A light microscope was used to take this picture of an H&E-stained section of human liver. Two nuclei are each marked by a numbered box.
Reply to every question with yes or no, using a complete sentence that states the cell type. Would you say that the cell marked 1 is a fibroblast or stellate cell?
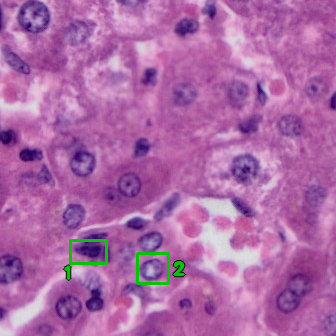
Yes, cell number 1 in this section is a fibroblast or stellate cell.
